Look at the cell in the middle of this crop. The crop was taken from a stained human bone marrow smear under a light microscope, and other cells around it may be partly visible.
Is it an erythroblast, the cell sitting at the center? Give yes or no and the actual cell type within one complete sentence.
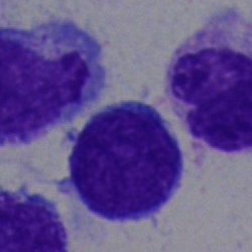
No, mark the middle cell as a blast, not an erythroblast.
